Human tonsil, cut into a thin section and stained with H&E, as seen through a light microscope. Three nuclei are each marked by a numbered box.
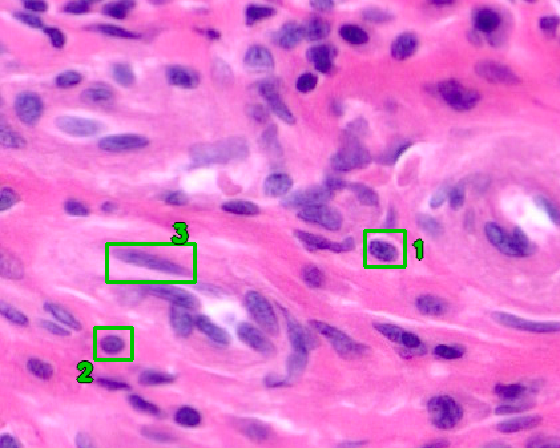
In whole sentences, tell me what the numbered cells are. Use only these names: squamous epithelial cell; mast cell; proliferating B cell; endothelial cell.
Cell 1 is a mast cell, cell 2 is a mast cell and cell 3 is an endothelial cell.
